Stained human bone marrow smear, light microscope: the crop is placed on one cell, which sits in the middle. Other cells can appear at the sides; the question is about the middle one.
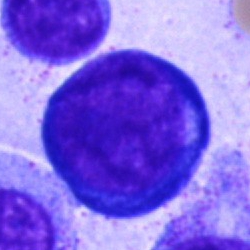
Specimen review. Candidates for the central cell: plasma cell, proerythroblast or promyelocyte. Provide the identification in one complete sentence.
The cell the crop is centered on is a proerythroblast.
